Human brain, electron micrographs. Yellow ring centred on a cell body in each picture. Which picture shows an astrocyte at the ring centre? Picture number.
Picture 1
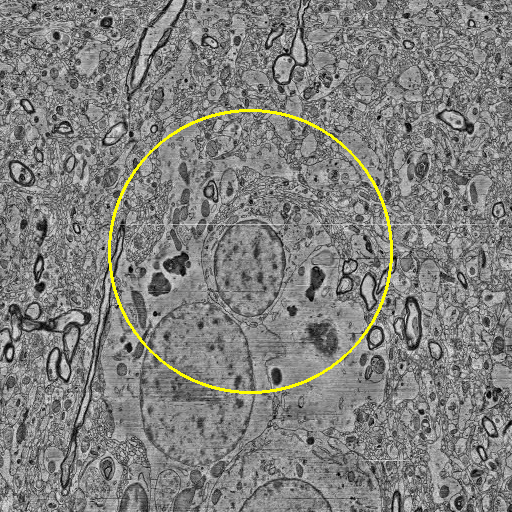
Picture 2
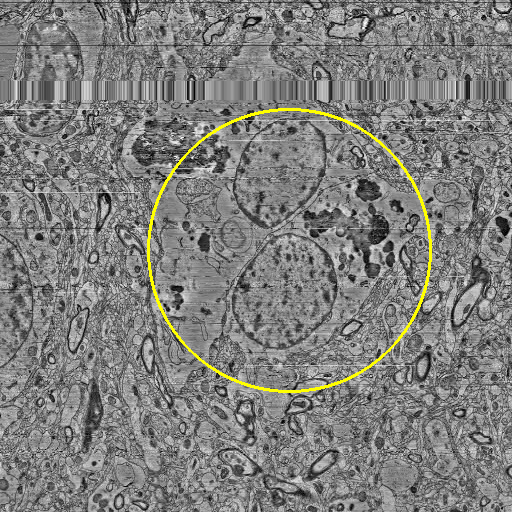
2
